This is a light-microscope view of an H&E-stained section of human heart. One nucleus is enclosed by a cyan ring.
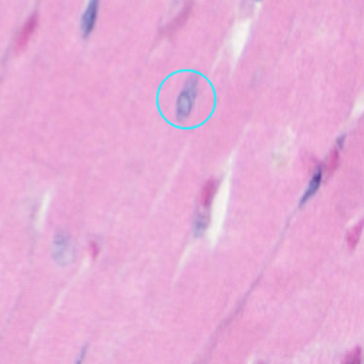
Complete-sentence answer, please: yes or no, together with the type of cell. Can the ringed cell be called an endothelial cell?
No, the ringed cell is a cardiomyocyte rather than an endothelial cell.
